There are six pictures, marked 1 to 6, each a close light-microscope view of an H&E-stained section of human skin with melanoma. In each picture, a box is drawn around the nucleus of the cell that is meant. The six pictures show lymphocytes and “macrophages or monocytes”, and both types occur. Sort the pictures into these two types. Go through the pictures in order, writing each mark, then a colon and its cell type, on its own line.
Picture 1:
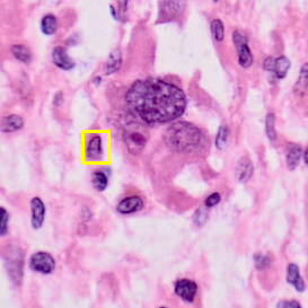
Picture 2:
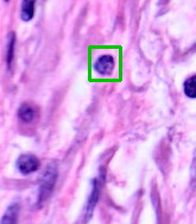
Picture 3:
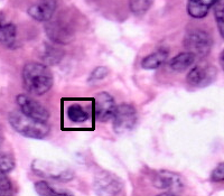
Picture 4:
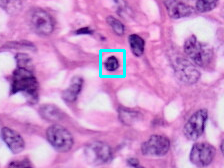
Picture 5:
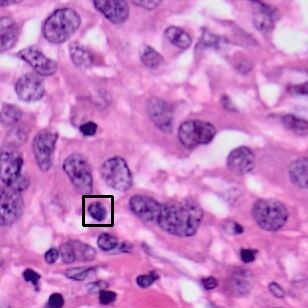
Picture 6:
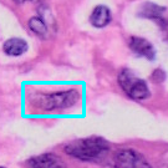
1: macrophage or monocyte
2: lymphocyte
3: lymphocyte
4: lymphocyte
5: lymphocyte
6: macrophage or monocyte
